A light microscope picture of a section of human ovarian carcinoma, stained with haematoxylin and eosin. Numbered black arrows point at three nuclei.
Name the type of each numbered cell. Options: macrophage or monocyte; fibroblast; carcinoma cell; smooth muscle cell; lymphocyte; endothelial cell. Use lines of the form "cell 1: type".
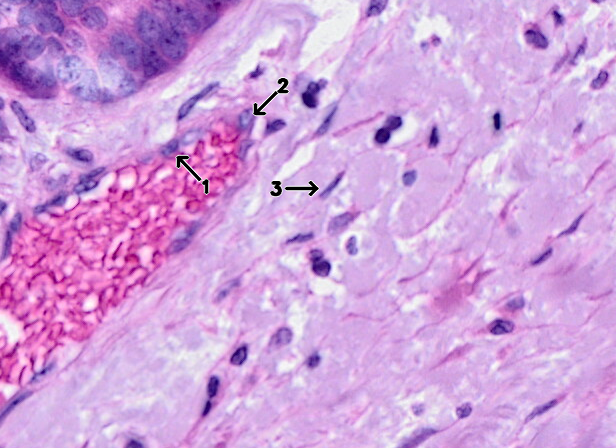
cell 1: endothelial cell
cell 2: endothelial cell
cell 3: fibroblast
